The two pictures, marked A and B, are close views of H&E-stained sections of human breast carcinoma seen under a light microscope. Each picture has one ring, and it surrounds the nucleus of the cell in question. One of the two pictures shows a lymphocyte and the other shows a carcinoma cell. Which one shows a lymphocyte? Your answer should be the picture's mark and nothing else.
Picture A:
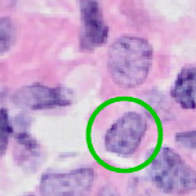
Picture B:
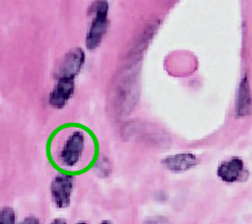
B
